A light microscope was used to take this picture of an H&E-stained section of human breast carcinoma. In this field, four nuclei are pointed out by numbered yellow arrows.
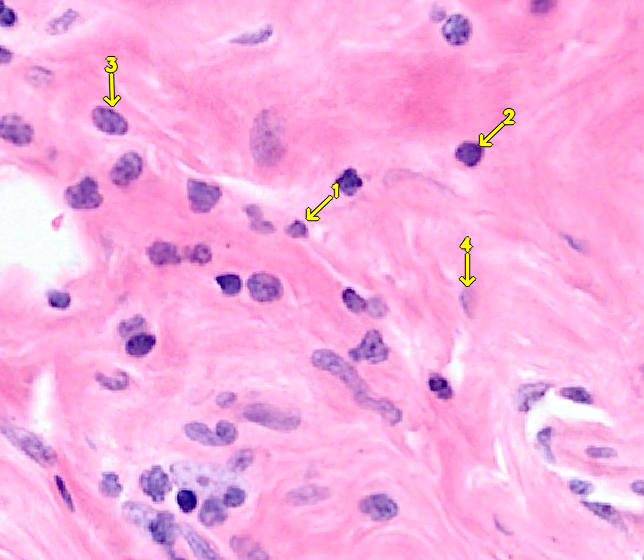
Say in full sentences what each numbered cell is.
Cell 1 is a lymphocyte, cell 2 is a lymphocyte, cell 3 is a lymphocyte and cell 4 is a fibroblast.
